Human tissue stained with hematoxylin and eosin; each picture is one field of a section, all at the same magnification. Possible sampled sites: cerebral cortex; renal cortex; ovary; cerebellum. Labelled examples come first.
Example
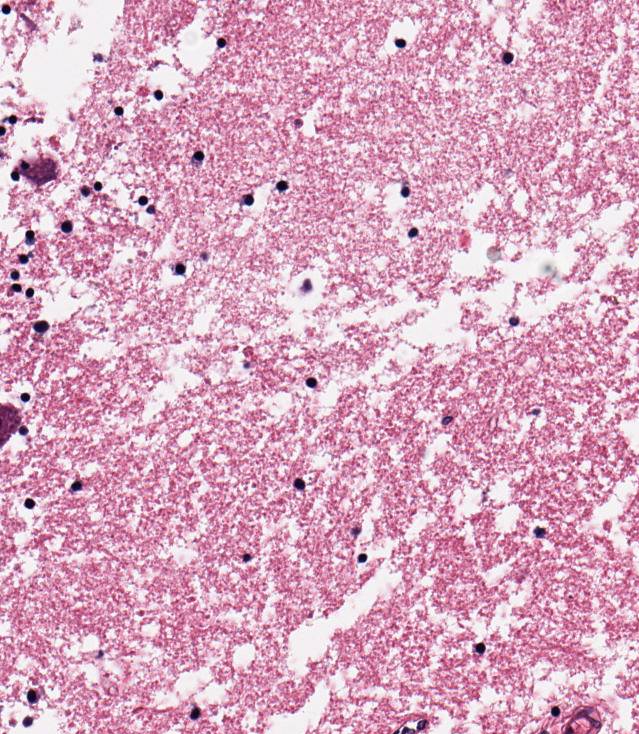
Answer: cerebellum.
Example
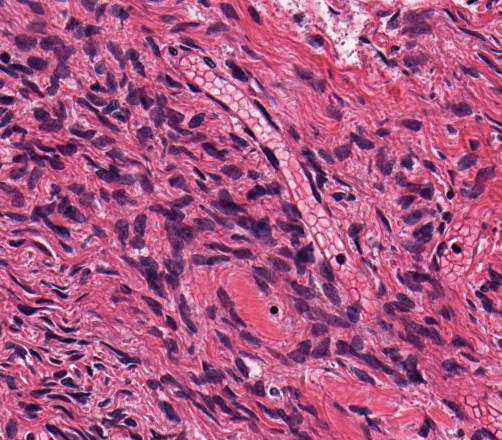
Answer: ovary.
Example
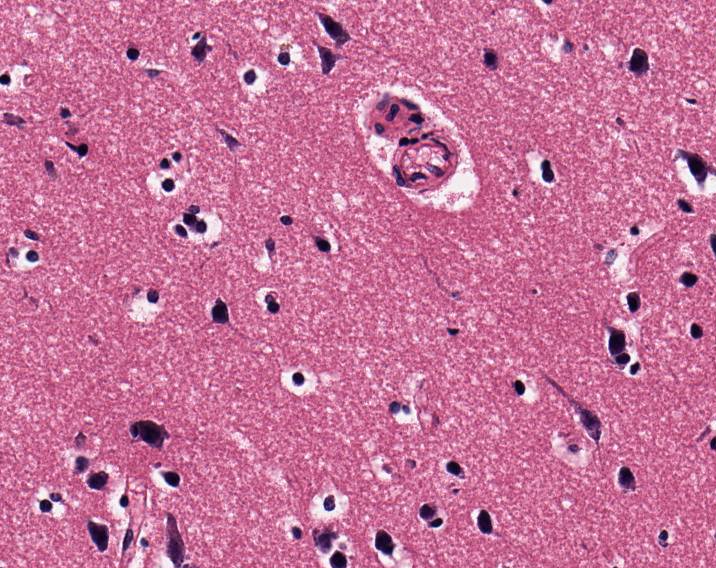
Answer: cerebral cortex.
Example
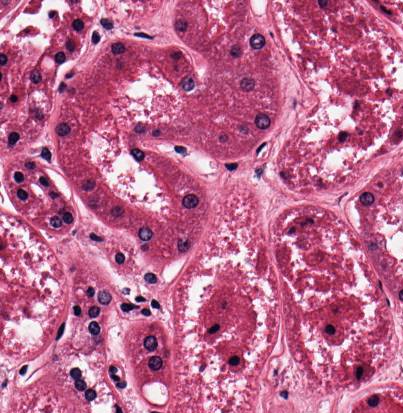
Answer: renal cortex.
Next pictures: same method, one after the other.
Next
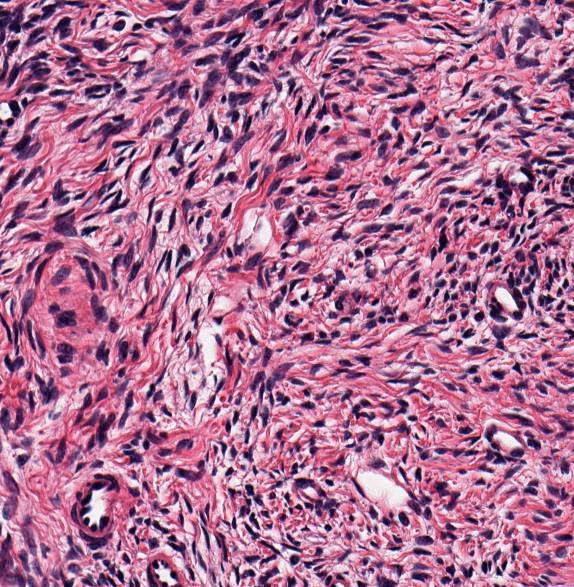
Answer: ovary.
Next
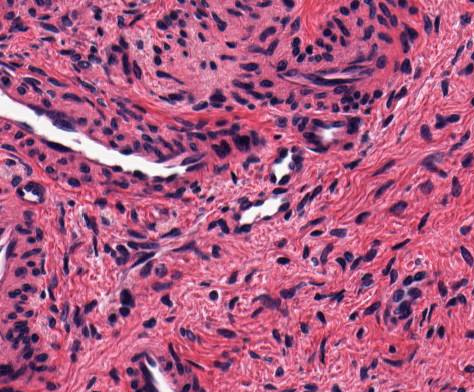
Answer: ovary.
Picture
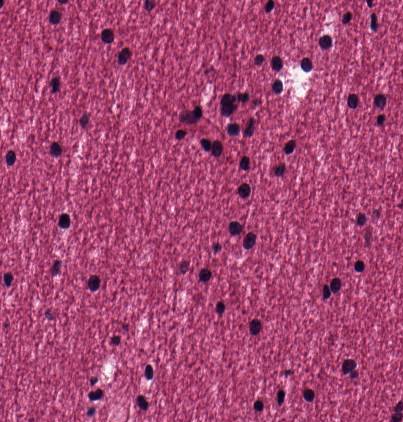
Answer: cerebral cortex.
